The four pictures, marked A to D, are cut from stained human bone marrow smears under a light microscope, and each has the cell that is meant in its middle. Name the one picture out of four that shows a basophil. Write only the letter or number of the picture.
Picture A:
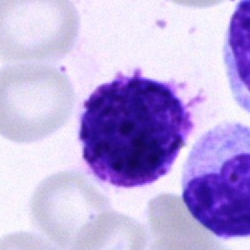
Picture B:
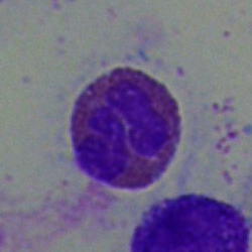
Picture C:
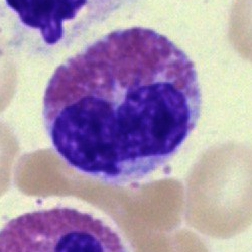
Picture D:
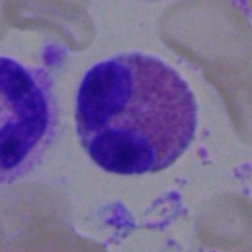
A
